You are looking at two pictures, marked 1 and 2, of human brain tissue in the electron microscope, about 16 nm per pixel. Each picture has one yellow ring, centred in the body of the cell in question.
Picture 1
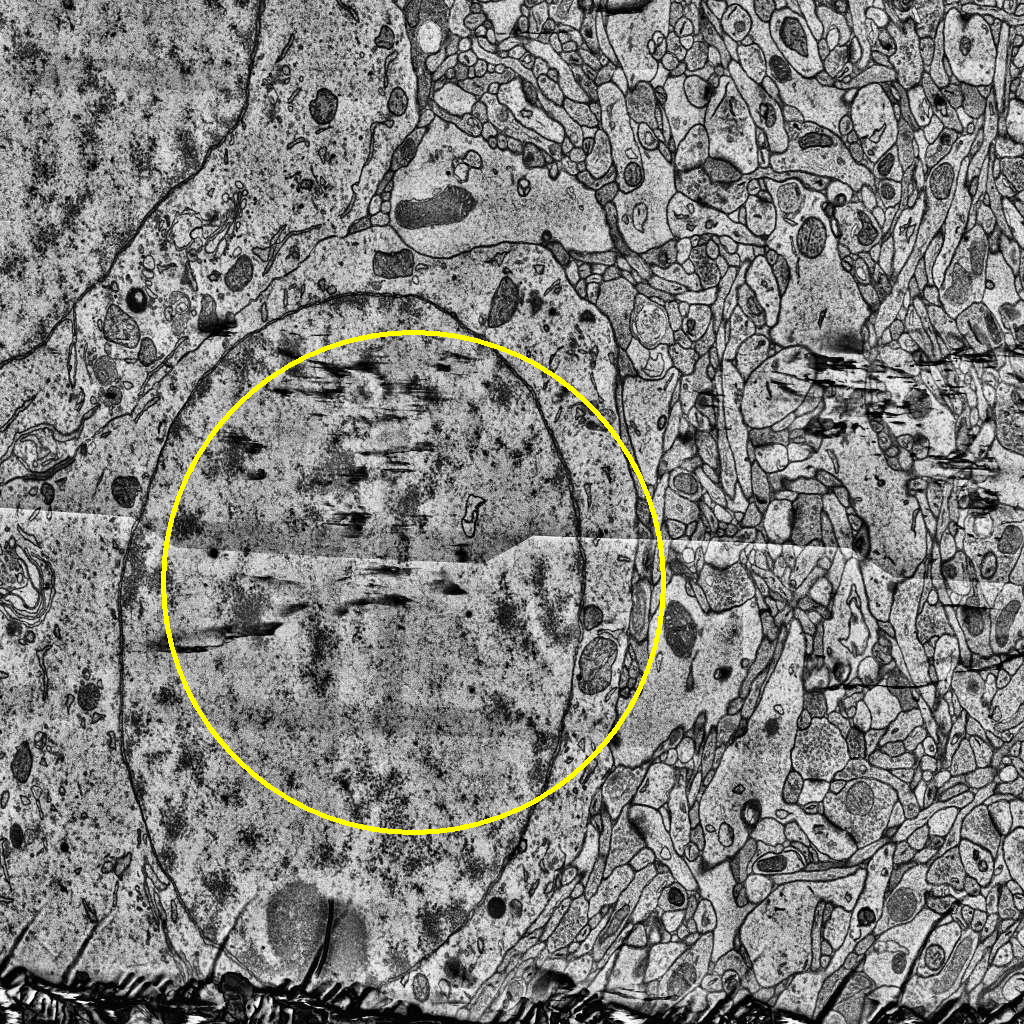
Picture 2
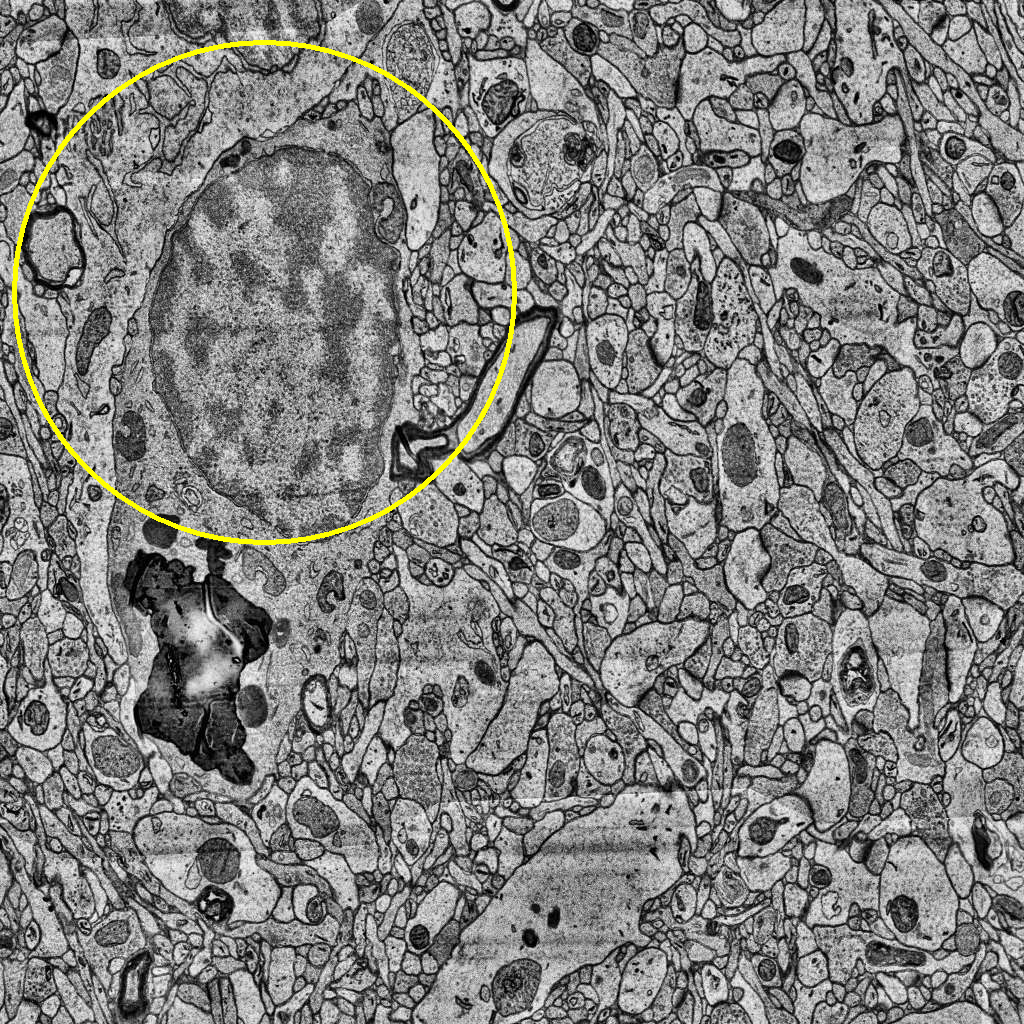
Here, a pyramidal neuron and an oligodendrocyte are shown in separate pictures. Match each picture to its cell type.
It is picture 1 that shows a pyramidal neuron, and picture 2 that shows an oligodendrocyte.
